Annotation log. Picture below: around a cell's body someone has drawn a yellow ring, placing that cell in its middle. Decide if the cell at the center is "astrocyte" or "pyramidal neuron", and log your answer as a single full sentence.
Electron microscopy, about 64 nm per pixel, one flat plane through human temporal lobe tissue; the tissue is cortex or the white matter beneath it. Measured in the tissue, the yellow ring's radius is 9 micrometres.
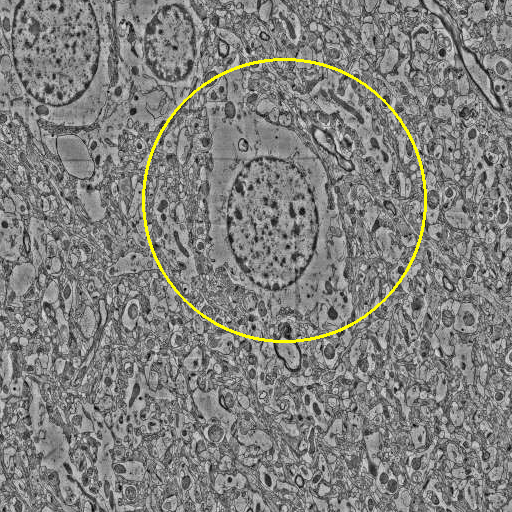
My entry records an astrocyte as the cell sitting at the center of the yellow ring.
